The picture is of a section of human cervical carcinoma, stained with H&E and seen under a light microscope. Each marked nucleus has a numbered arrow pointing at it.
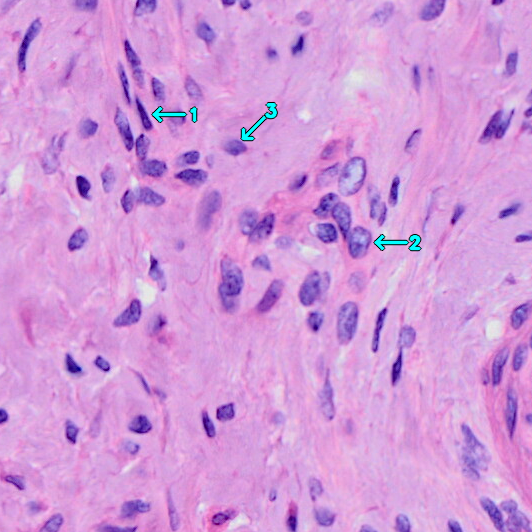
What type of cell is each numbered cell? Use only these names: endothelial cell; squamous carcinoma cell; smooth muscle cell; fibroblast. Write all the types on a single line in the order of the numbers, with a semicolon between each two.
fibroblast; endothelial cell; fibroblast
